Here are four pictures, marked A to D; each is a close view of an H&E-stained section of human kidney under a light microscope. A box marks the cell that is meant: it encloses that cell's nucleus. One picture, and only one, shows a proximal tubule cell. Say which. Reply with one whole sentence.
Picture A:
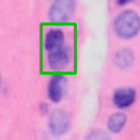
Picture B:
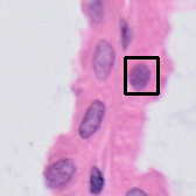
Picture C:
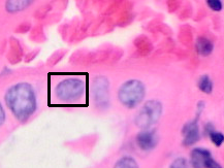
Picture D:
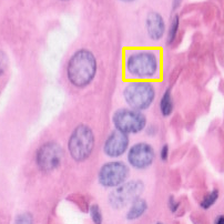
The cell in picture B is the proximal tubule cell.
